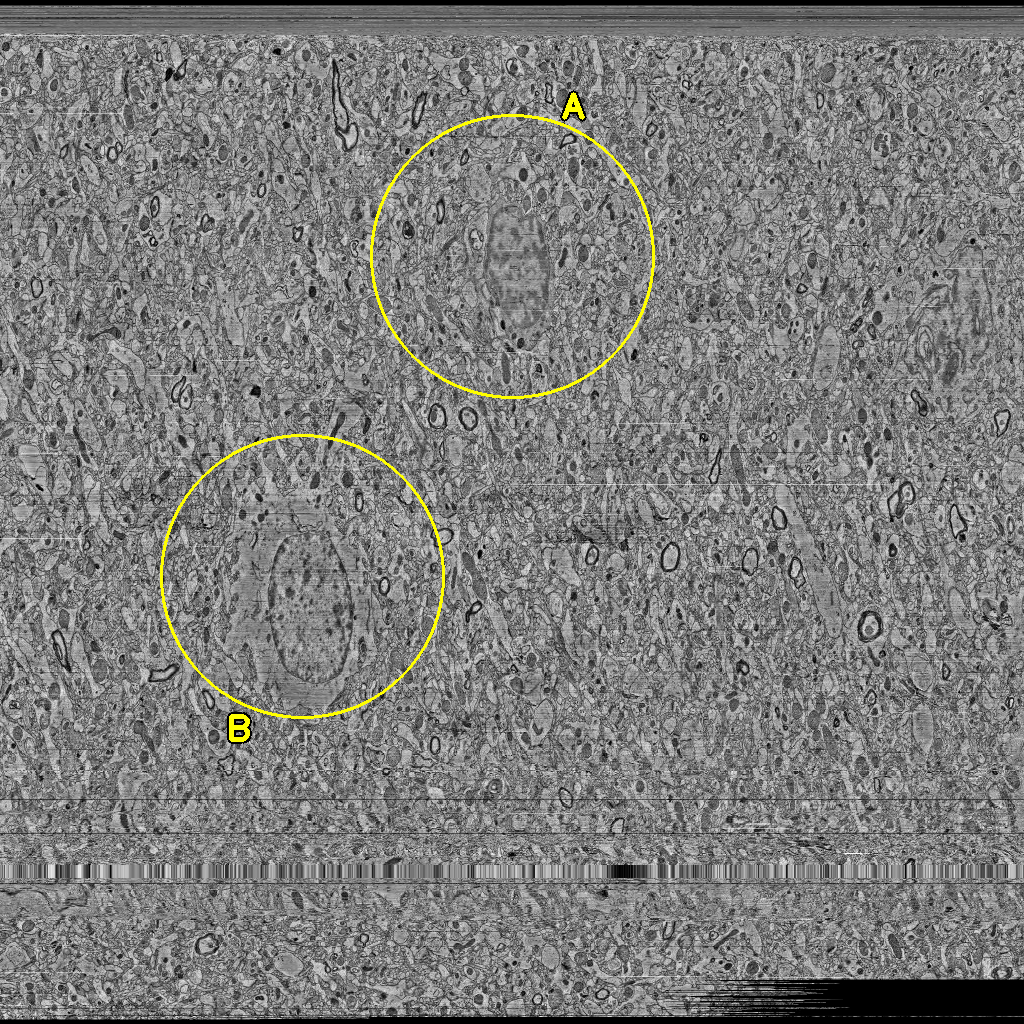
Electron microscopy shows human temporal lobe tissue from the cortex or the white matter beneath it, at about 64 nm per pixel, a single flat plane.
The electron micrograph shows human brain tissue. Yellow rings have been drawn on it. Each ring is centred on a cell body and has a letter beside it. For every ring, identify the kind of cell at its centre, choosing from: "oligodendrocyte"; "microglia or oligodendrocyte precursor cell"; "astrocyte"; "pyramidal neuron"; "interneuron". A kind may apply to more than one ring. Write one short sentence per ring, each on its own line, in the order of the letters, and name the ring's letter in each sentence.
Ring A is centred on an oligodendrocyte.
Ring B is centred on an astrocyte.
